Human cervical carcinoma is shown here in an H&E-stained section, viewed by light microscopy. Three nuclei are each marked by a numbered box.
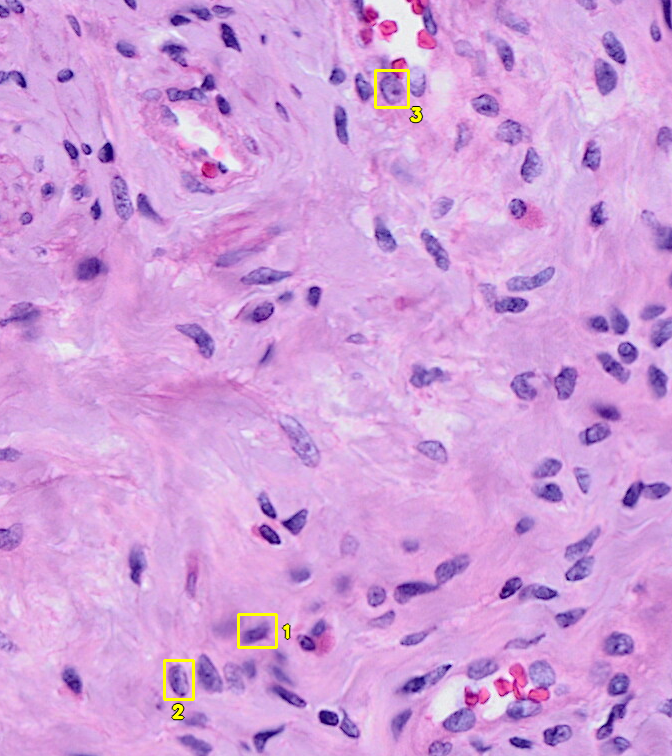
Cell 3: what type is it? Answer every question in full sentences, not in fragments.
The marked nucleus 3 is that of an endothelial cell.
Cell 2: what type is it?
The nucleus labelled 2 belongs to a fibroblast.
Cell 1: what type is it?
Identified by the number 1, the cell is a fibroblast.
